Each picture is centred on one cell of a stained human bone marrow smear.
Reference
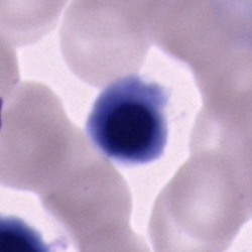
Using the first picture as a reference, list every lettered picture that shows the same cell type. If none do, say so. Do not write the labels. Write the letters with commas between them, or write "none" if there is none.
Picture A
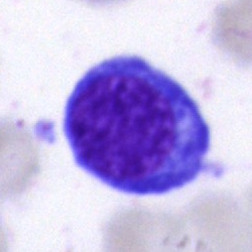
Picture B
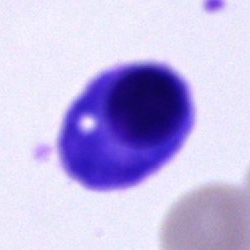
A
